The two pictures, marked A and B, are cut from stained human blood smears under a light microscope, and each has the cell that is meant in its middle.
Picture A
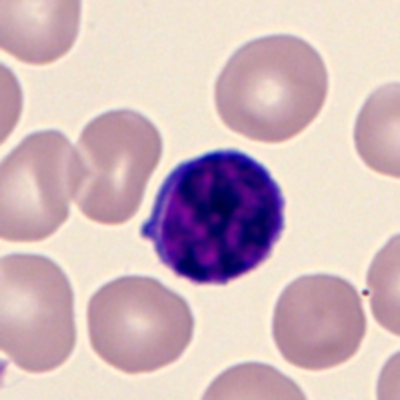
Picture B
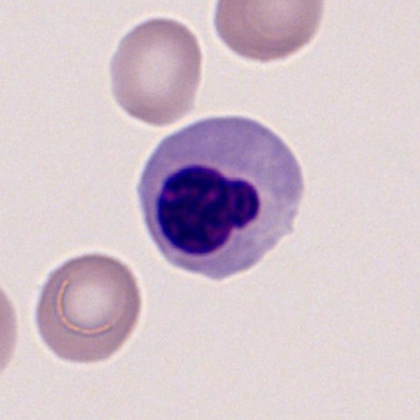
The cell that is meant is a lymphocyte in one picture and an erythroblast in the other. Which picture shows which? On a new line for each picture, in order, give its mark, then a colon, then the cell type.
A: lymphocyte
B: erythroblast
